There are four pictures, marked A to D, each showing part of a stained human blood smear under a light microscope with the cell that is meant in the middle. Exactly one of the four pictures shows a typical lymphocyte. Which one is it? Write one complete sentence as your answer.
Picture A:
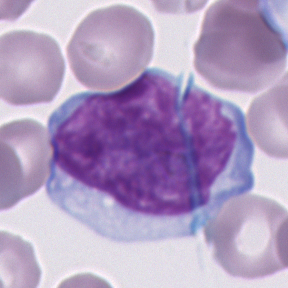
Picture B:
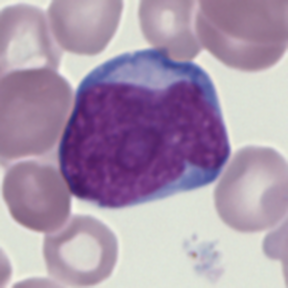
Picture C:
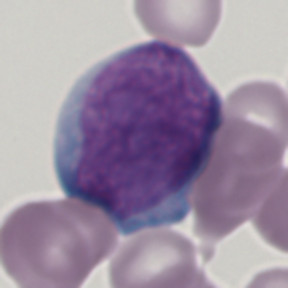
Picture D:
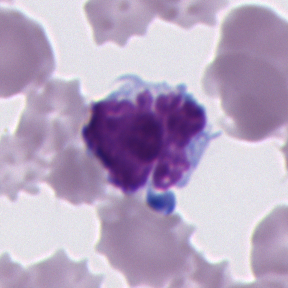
The cell in picture D is the typical lymphocyte.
